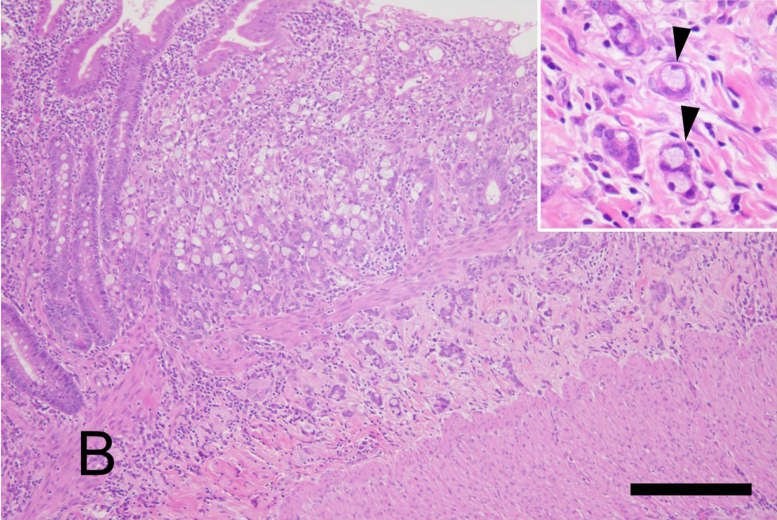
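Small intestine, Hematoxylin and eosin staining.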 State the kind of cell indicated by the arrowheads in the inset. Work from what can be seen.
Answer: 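Each marked cell has a pale central vacuole. The purple nucleus is pushed to the rim of the cell. That points to this answer: signet ring cells.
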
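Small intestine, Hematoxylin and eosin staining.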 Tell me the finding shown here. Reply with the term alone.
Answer: Invasive proliferation of epithelial tumor cells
